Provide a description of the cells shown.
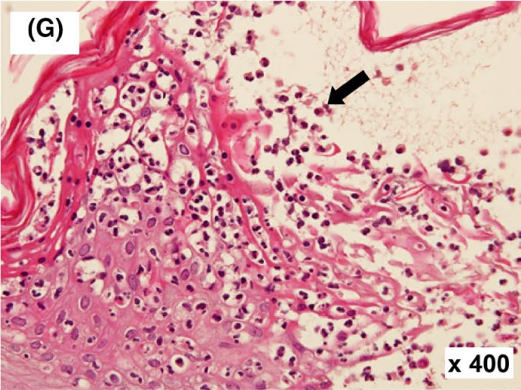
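This is the edge of a pustule in the skin, seen at high power, where neutrophils crowd in among the epidermal cells. Toward the right, many small cells with dark, lobed nuclei spill into a pale cavity roofed by the thin wavy pink cornified layer. On the left, the epidermal cells are larger, with pale, swollen-looking cytoplasm and round nuclei, and neutrophils lie scattered between them. The pink strands running through the field are remnants of the upper epidermis at the pustule's margin.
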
